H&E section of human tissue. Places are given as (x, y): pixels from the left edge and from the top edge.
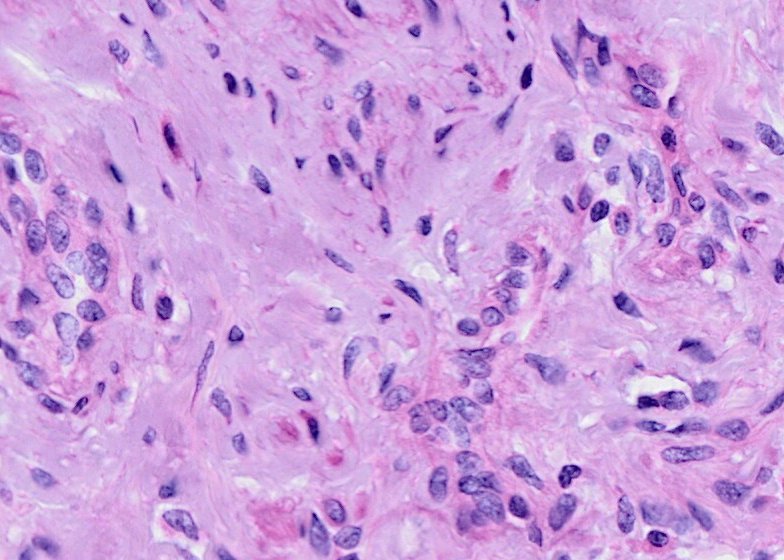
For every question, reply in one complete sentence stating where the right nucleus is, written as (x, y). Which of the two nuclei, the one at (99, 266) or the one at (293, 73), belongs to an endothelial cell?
Of the two nuclei, the one sitting at (99, 266) belongs to an endothelial cell.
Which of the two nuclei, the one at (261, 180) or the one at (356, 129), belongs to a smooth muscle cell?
Among the two, the nucleus at (356, 129) is the nucleus of a smooth muscle cell.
